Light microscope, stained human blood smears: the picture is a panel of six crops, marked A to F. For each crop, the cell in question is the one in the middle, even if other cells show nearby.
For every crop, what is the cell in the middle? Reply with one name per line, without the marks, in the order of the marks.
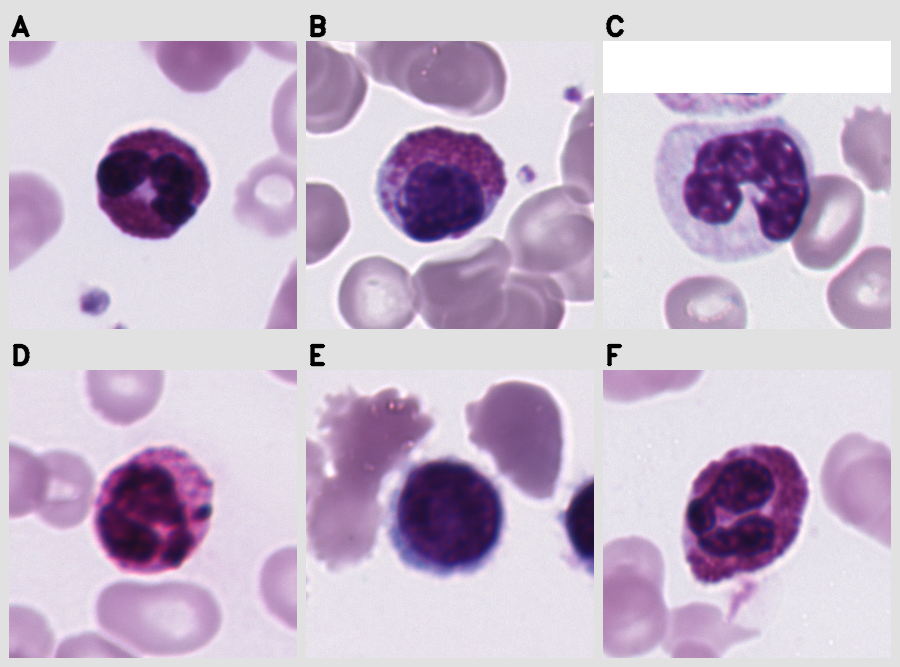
eosinophil
eosinophil
band neutrophil
basophil
hairy cell
eosinophil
